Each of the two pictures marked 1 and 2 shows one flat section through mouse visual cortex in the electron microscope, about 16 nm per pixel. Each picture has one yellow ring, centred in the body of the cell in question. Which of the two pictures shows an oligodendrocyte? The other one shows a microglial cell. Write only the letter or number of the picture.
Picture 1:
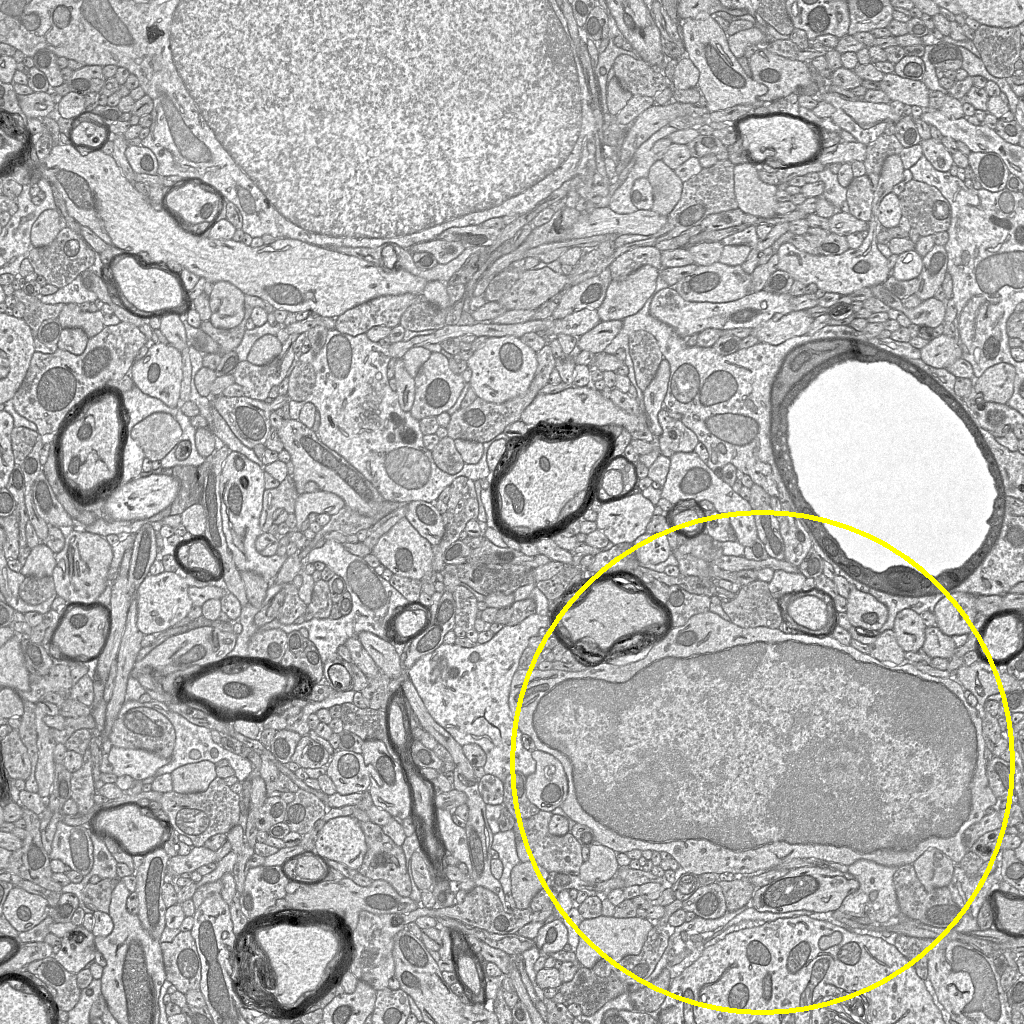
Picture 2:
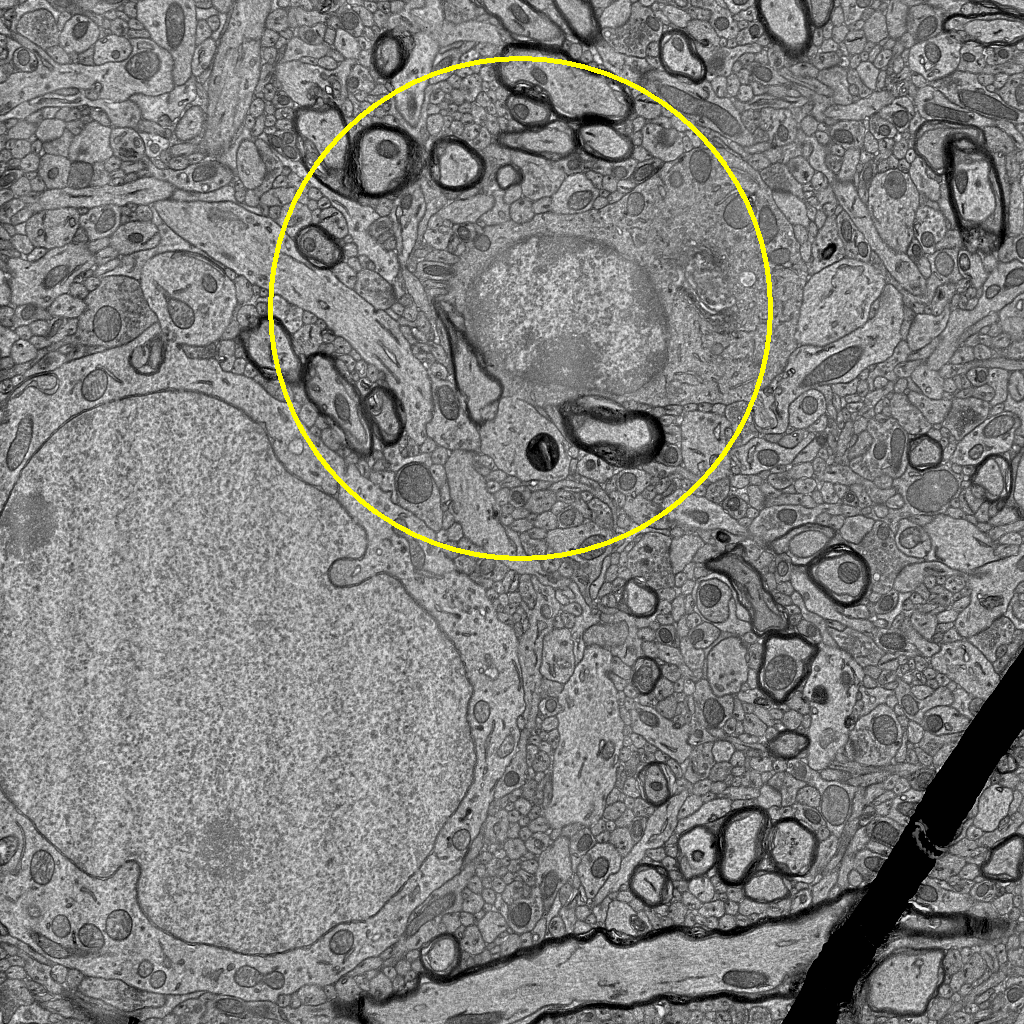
2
